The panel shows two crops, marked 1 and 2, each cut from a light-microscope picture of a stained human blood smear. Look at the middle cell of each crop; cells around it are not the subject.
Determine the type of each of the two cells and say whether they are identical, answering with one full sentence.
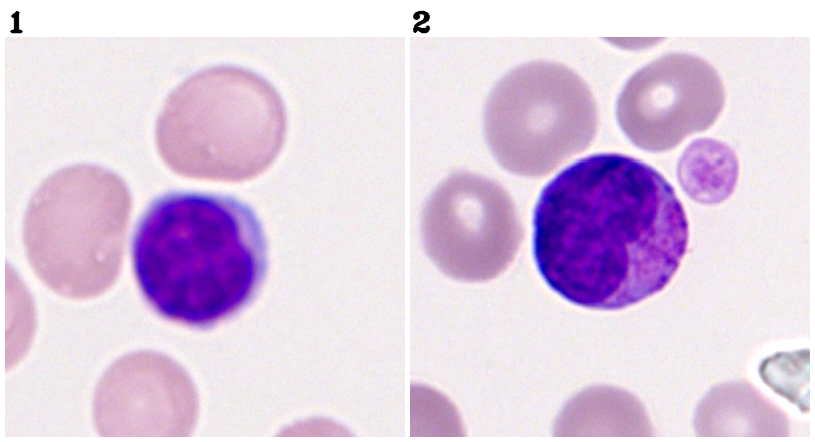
No, a lymphocyte is in crop 1, and a myeloblast is in crop 2.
